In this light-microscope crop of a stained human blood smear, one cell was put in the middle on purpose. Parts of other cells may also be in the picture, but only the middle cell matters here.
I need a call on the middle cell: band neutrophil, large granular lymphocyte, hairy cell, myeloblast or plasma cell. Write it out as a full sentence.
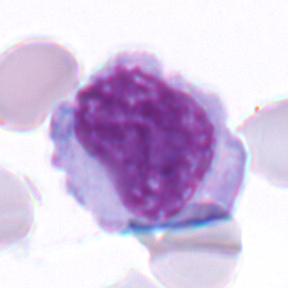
The cell in the exact centre of the crop is a plasma cell.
